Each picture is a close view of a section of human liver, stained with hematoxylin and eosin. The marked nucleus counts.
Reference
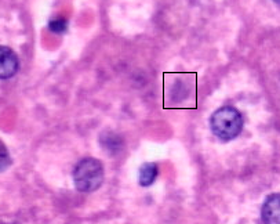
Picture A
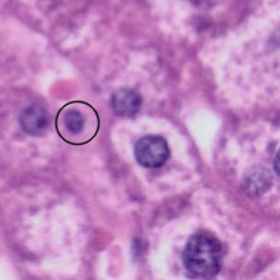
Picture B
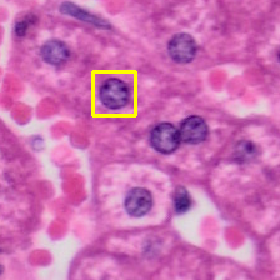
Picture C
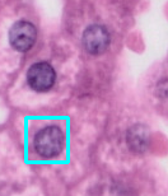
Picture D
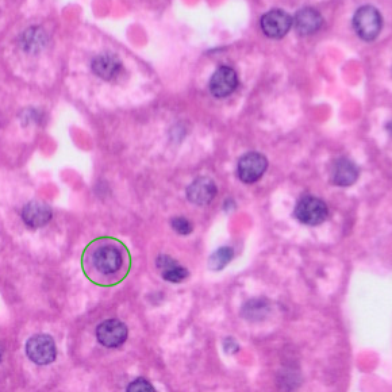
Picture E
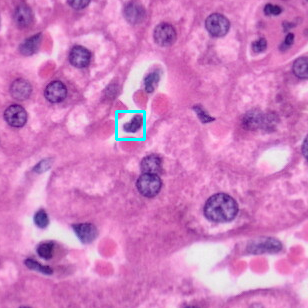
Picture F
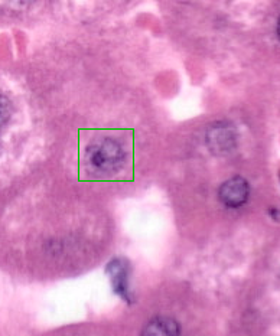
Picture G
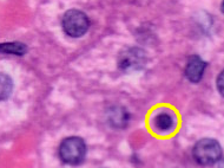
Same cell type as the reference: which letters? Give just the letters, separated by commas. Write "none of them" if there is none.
B, C, D, F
